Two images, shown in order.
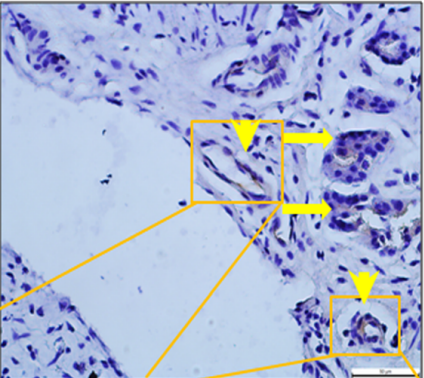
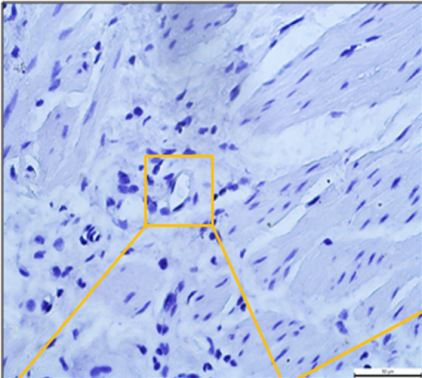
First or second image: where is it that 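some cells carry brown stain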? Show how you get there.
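The first image. First image: brown stain along cells lining small vessels and within clusters of crowded cells. Second image: only blue nuclei in pale tissue, no brown stain.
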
